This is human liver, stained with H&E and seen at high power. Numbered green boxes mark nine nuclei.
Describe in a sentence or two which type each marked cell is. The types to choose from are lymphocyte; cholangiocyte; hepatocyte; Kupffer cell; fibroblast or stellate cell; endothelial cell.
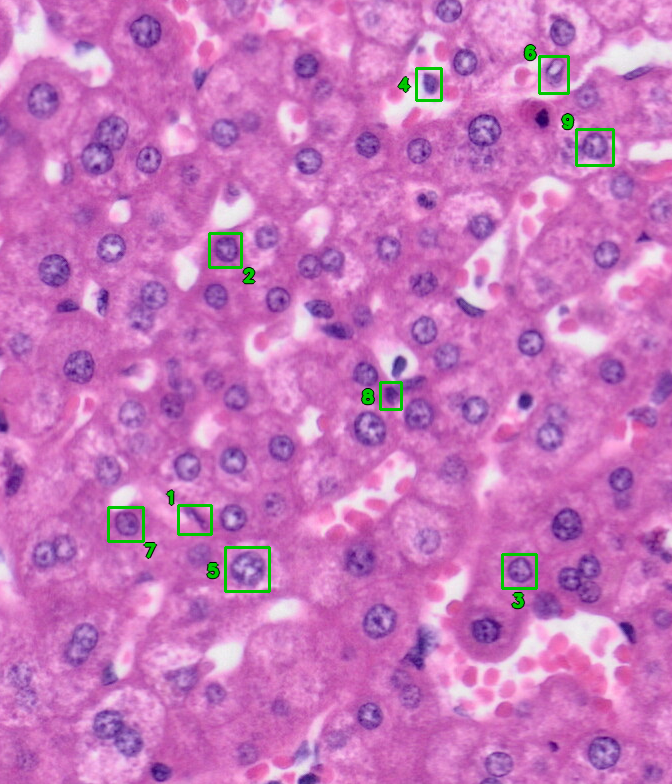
Cell 1 is an endothelial cell. Cells 2, 3, 5, 7 and 9 are hepatocytes. Cell 4 is a lymphocyte. Cell 6 is a Kupffer cell. Cell 8 is a fibroblast or stellate cell.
